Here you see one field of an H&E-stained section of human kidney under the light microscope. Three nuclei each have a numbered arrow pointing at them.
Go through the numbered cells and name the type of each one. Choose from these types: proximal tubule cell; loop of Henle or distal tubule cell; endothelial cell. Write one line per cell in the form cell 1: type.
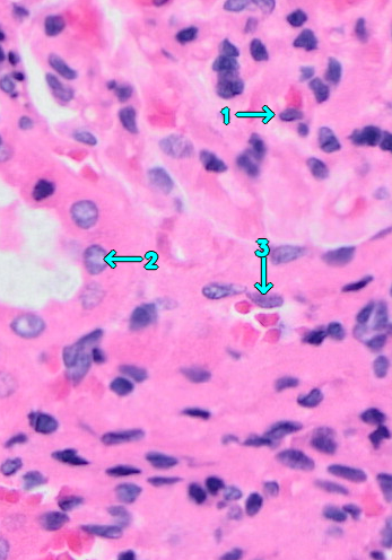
cell 1: endothelial cell
cell 2: loop of Henle or distal tubule cell
cell 3: endothelial cell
